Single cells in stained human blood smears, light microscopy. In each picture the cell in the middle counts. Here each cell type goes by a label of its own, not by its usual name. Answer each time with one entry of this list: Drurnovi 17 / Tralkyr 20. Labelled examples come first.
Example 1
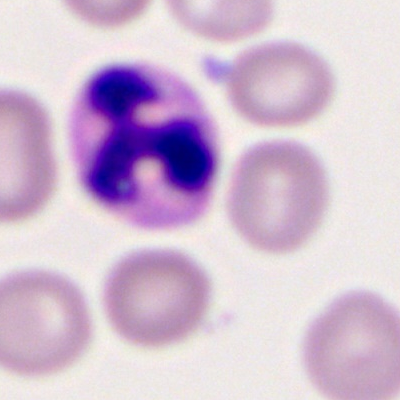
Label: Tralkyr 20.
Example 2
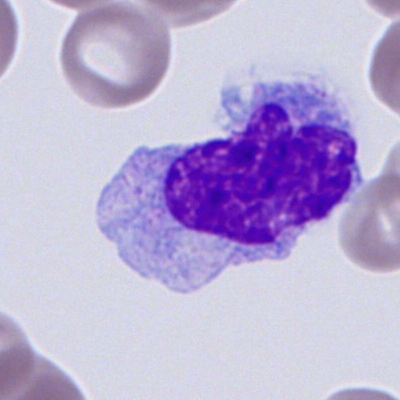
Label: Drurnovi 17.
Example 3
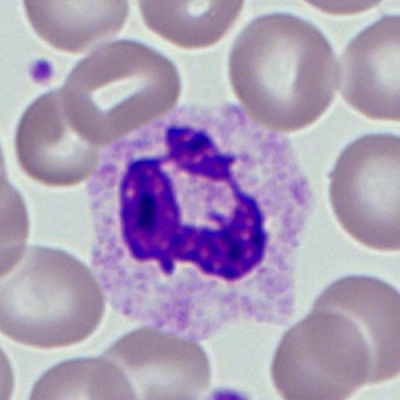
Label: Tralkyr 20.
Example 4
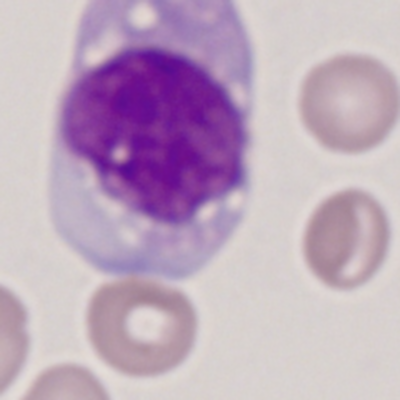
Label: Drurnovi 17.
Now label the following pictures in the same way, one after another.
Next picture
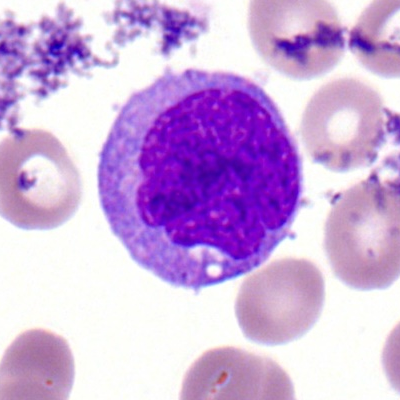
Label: Drurnovi 17.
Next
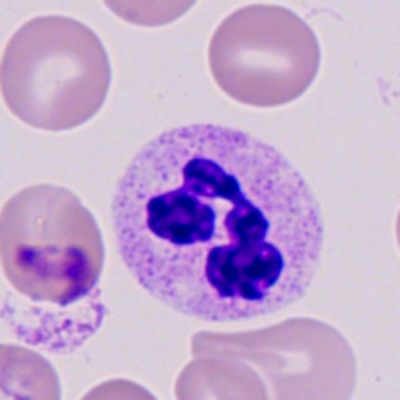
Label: Tralkyr 20.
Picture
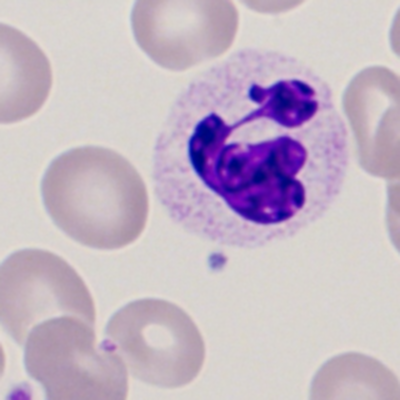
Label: Tralkyr 20.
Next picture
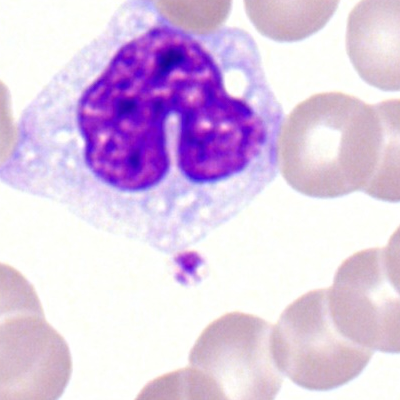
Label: Drurnovi 17.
